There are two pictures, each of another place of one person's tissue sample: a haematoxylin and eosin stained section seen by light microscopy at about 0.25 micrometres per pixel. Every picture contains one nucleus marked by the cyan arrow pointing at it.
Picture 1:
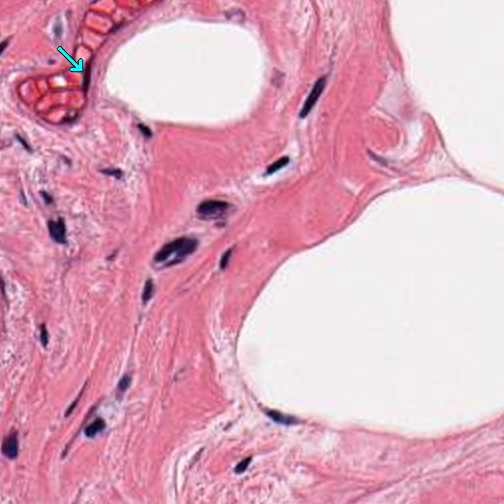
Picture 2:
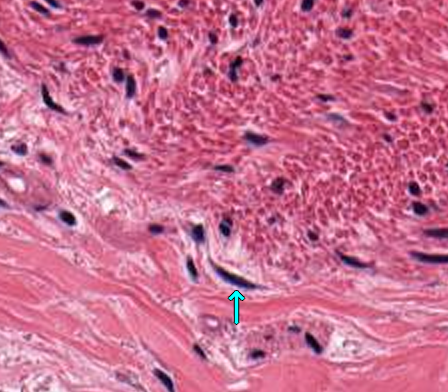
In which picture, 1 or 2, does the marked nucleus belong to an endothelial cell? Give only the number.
1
